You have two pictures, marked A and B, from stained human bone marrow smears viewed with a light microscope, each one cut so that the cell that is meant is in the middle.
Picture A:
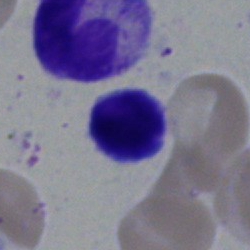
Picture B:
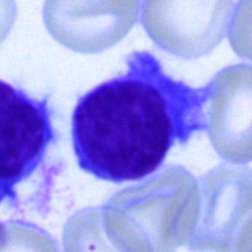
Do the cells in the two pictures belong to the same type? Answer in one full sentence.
Yes, both cells are lymphocytes.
